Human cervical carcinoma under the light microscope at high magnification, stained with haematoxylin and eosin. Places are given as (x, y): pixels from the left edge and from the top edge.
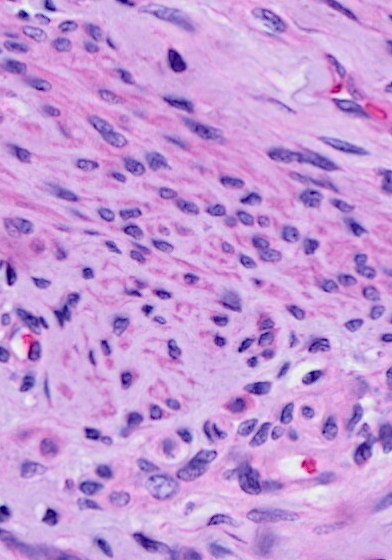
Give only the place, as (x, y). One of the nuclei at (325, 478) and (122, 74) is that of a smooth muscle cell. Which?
(122, 74)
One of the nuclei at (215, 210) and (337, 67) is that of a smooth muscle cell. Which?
(215, 210)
